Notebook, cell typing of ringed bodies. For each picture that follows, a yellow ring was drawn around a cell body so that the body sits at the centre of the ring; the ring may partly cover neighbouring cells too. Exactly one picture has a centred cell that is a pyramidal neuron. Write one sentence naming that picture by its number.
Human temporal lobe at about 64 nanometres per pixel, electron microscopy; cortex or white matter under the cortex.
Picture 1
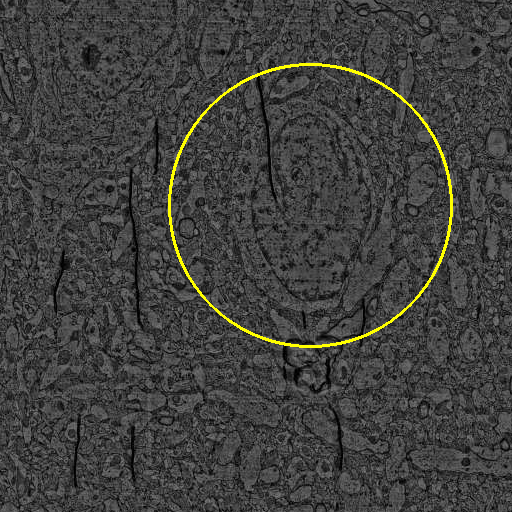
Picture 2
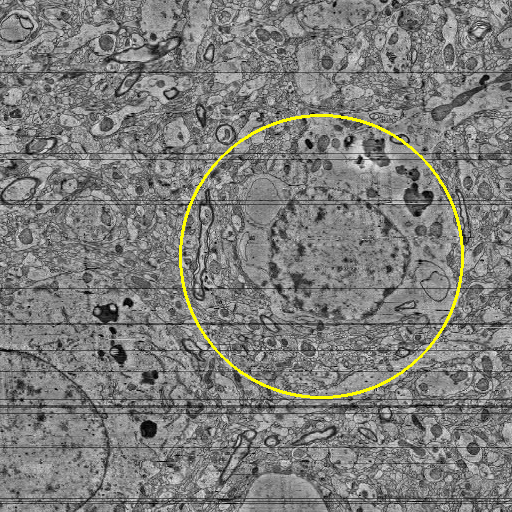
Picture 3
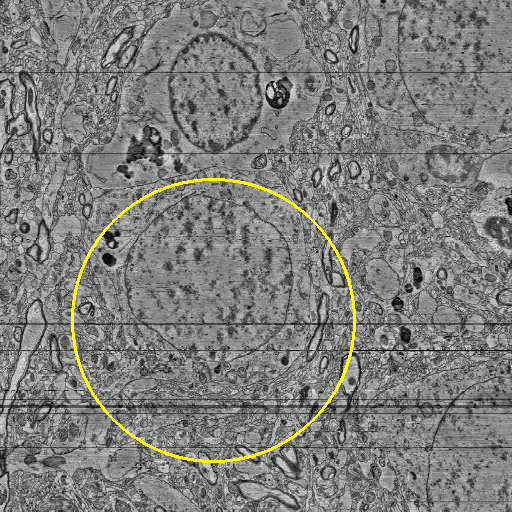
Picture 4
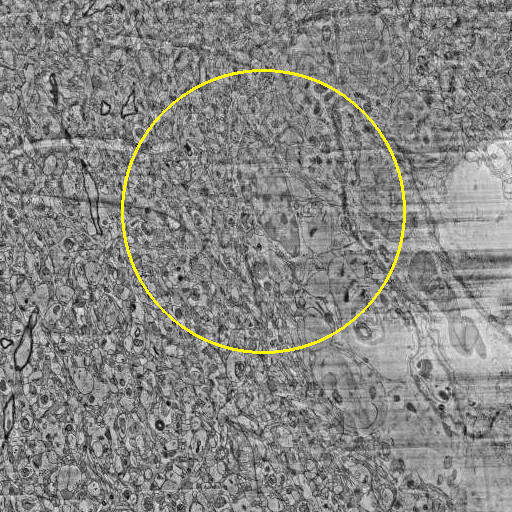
Picture 3 is the one with it at the centre of its ring.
